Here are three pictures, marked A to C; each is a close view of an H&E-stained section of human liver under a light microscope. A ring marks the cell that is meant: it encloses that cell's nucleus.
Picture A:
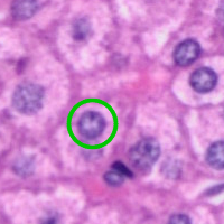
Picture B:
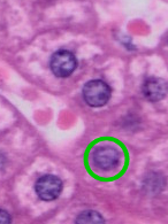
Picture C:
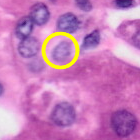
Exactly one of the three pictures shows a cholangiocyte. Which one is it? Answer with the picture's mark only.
C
